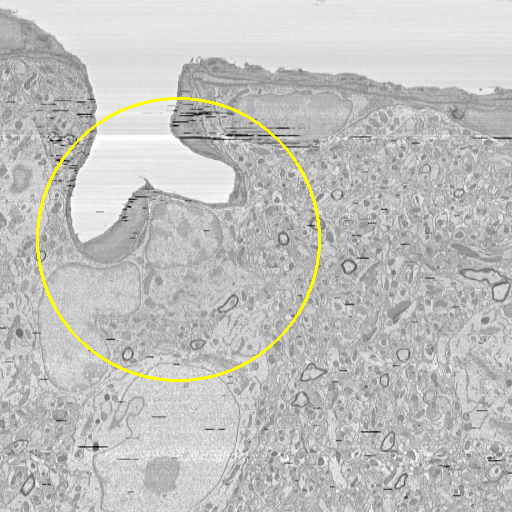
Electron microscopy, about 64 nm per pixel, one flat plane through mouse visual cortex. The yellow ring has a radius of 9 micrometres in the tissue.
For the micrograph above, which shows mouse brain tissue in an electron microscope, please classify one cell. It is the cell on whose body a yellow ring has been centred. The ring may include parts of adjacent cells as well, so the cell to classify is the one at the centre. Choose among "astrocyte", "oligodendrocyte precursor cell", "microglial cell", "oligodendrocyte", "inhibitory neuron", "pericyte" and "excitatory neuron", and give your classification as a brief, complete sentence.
I classify this cell as an oligodendrocyte.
